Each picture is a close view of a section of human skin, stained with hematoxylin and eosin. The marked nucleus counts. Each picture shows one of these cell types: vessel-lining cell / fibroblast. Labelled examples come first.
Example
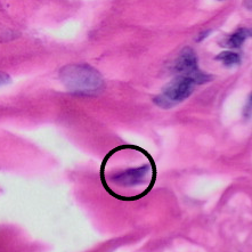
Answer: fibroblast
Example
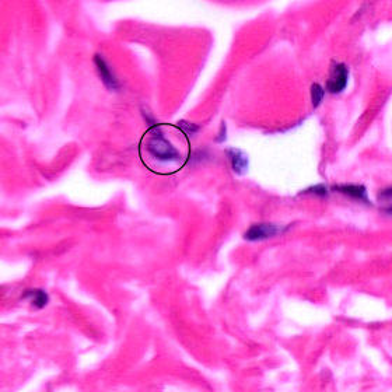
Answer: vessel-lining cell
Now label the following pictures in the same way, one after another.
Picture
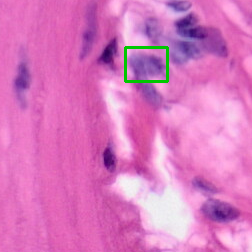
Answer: vessel-lining cell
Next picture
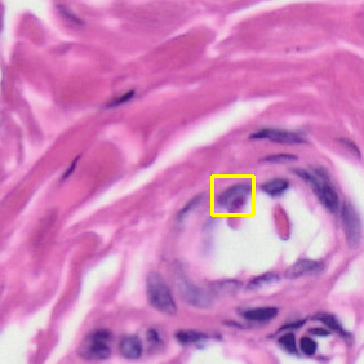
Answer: vessel-lining cell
